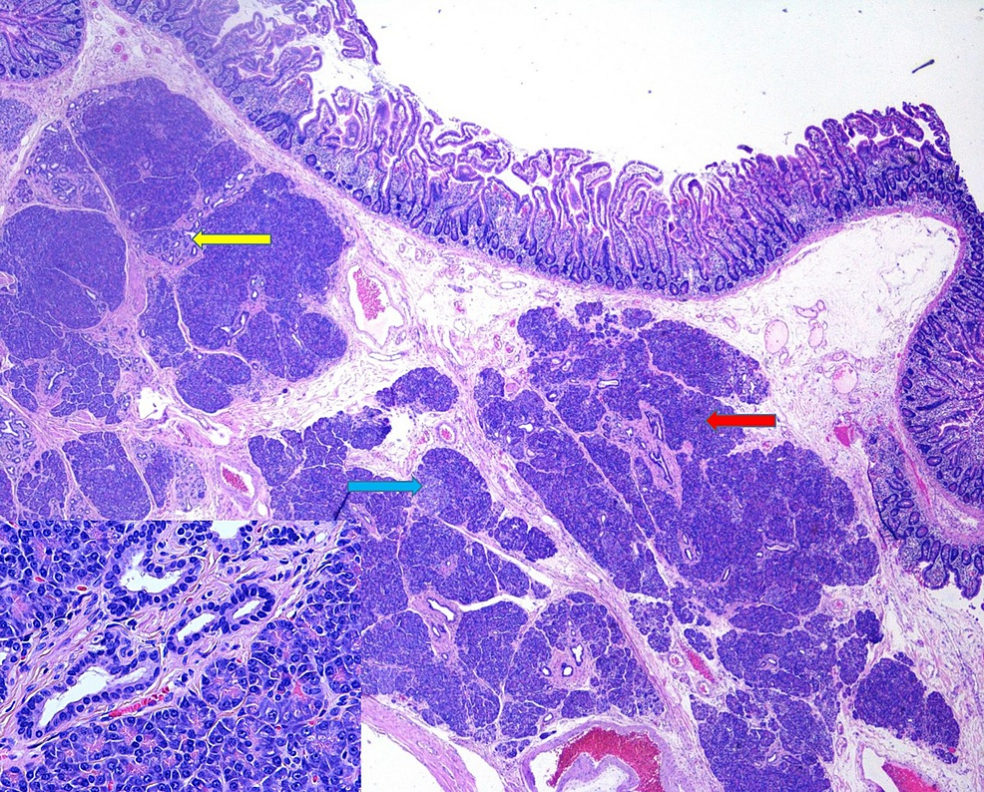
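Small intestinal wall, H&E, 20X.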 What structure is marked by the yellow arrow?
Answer: ducts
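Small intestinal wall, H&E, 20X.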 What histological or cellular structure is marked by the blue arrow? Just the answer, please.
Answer: Islets.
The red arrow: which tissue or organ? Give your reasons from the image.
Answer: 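The arrow points into a large lobule of densely packed, dark purple glandular tissue. The lobules are separated by thin pink fibrous septa. At high power in the inset, small acini of cells with basal nuclei and granular cytoplasm are seen. On this evidence: benign pancreatic acini.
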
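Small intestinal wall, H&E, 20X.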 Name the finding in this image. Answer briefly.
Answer: Pancreatic heterotopia.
